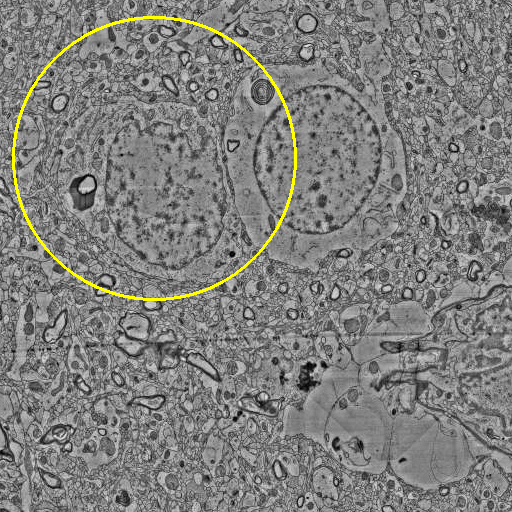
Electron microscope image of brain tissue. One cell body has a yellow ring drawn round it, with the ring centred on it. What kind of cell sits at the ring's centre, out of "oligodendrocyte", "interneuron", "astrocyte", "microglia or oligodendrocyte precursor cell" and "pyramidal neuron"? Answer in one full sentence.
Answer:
It is an interneuron whose cell body sits at the centre of the yellow ring.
